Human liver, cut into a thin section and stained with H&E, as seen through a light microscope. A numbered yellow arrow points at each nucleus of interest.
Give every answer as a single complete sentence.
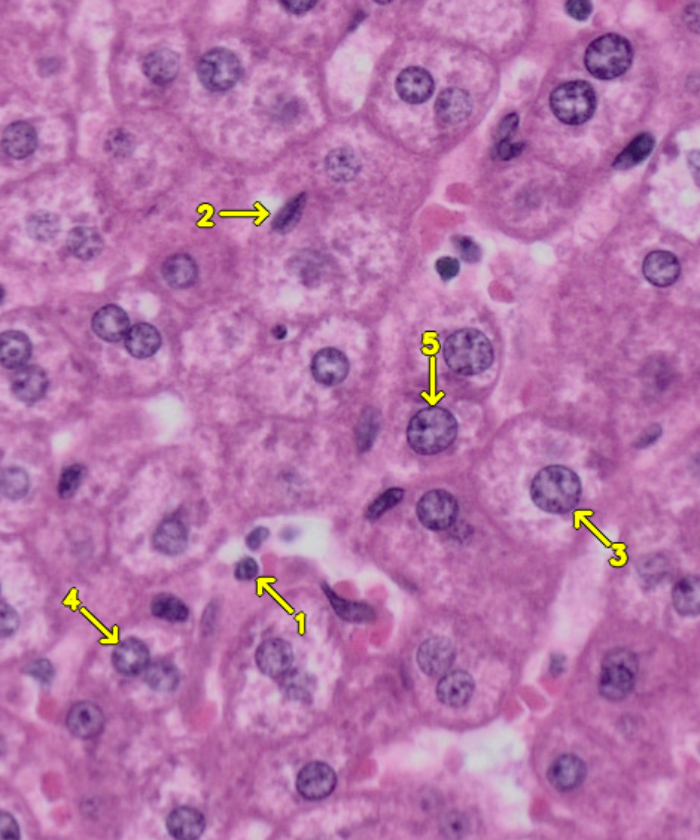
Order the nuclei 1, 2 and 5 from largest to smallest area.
By area, largest first, they run 5, 2, 1.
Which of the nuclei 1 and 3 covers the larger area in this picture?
Nucleus 3 covers more area, about 4 times as much as nucleus 1.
